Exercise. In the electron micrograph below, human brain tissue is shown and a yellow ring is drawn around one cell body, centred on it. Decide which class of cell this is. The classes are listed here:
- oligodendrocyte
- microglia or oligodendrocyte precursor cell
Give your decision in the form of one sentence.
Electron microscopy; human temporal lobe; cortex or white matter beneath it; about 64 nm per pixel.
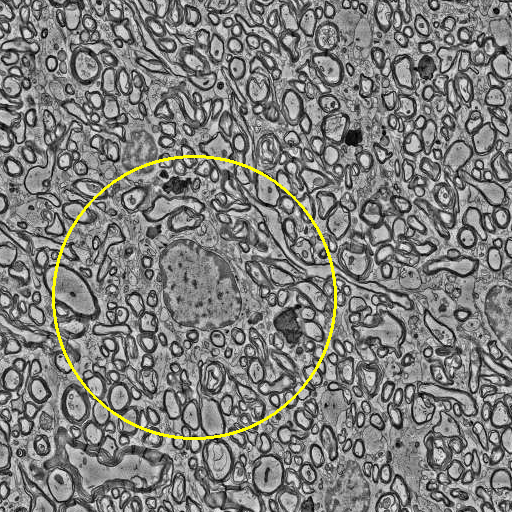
The cell body marked by the ring belongs to a microglial cell or oligodendrocyte precursor cell.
